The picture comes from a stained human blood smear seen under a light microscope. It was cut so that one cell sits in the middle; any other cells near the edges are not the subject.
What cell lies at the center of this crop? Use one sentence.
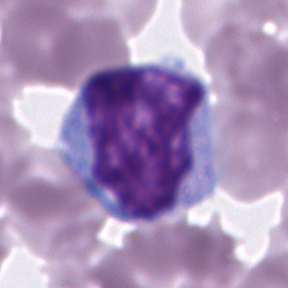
The middle cell in this particular crop is a monocyte.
